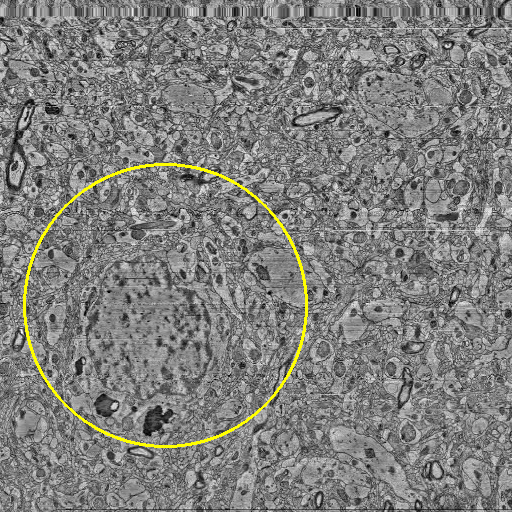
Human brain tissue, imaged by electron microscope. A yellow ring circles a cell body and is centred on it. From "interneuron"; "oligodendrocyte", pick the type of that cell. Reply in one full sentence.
The cell body at the centre of the yellow ring belongs to an interneuron.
